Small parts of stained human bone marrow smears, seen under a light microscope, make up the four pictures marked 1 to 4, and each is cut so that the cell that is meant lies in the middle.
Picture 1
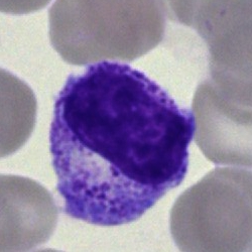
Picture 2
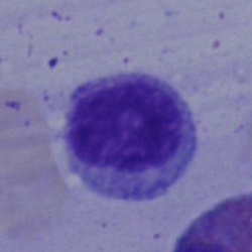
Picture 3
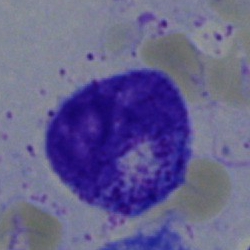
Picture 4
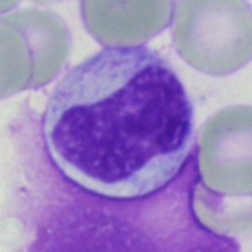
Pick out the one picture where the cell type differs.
4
